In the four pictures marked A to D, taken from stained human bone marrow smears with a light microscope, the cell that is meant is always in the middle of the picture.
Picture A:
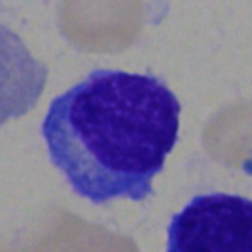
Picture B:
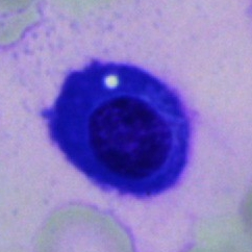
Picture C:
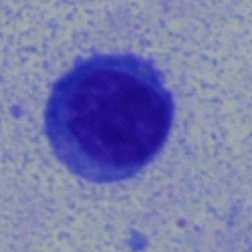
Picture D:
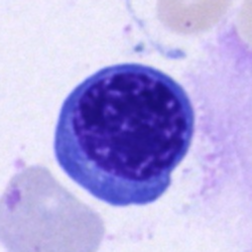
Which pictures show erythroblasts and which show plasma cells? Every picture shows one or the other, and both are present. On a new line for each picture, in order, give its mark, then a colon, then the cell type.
A: plasma cell
B: plasma cell
C: plasma cell
D: erythroblast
